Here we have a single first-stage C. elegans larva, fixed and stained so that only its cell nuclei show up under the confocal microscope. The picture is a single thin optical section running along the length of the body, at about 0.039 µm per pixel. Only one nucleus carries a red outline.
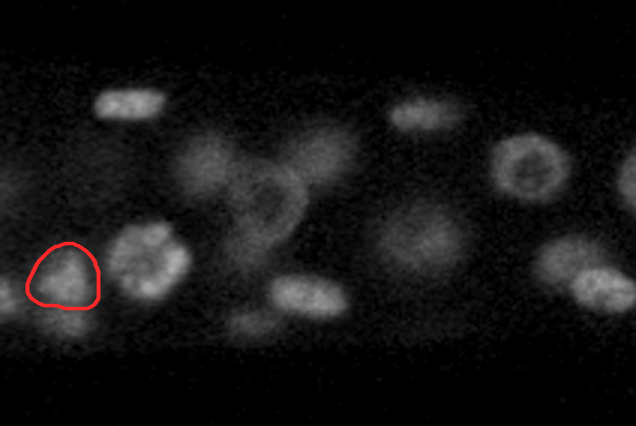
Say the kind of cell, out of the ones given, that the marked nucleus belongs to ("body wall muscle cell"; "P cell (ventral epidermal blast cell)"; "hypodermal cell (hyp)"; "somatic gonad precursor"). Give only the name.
somatic gonad precursor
